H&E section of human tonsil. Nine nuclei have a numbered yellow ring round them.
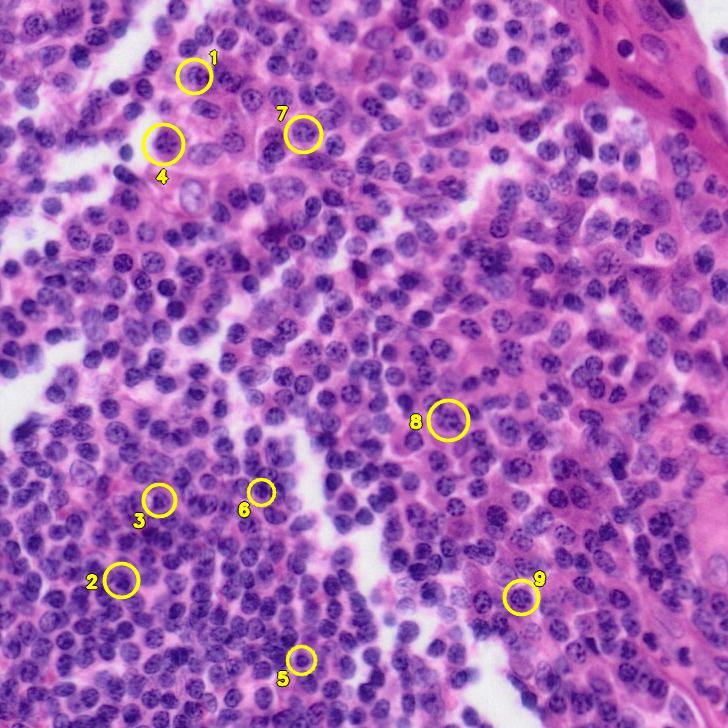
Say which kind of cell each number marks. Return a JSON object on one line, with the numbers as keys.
{"1": "plasma cell", "2": "small lymphocyte", "3": "small lymphocyte", "4": "plasma cell", "5": "small lymphocyte", "6": "small lymphocyte", "7": "plasma cell", "8": "plasma cell", "9": "plasma cell"}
